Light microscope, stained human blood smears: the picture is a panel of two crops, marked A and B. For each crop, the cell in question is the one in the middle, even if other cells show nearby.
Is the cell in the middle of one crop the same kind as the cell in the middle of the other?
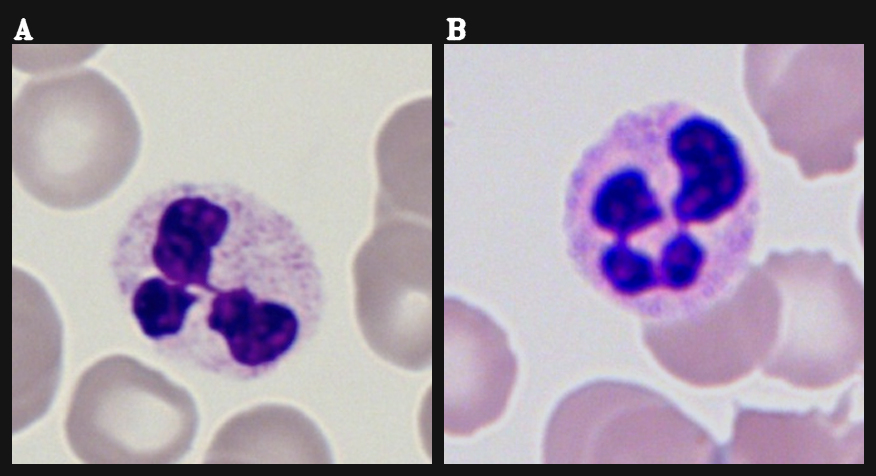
yes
